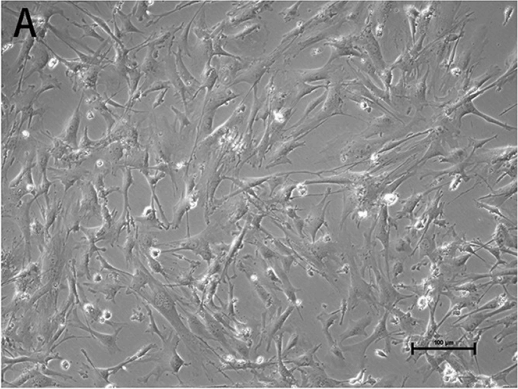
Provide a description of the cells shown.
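Cultured cells with a fibroblast-like form cover the dish densely. Most cells are elongated and spindle-shaped, with slender processes at both ends, and many lie roughly parallel in loose streams. Scattered among them are a few small, rounded, bright cells with a light halo.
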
